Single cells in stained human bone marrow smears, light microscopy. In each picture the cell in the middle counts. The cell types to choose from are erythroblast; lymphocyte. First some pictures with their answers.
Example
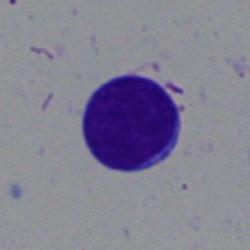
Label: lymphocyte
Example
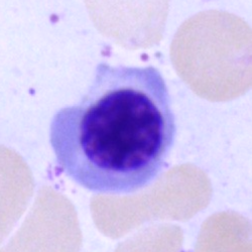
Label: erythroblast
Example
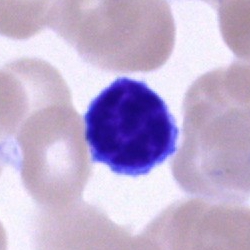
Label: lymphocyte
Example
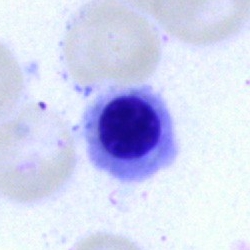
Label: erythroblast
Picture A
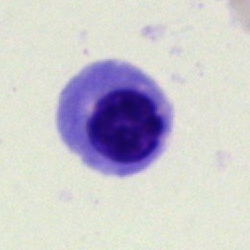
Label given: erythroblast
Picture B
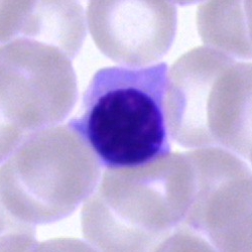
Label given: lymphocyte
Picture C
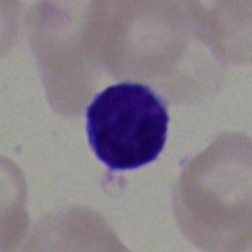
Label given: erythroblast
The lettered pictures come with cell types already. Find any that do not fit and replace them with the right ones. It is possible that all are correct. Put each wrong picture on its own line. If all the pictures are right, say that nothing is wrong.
B is labelled lymphocyte; correct label: erythroblast
C is labelled erythroblast; correct label: lymphocyte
